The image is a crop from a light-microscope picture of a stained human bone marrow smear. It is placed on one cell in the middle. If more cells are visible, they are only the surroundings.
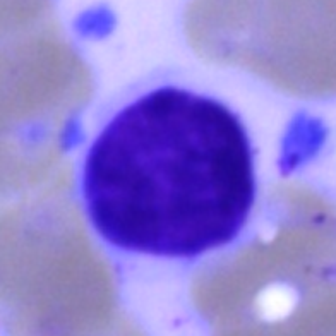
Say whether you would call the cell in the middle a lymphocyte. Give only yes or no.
yes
